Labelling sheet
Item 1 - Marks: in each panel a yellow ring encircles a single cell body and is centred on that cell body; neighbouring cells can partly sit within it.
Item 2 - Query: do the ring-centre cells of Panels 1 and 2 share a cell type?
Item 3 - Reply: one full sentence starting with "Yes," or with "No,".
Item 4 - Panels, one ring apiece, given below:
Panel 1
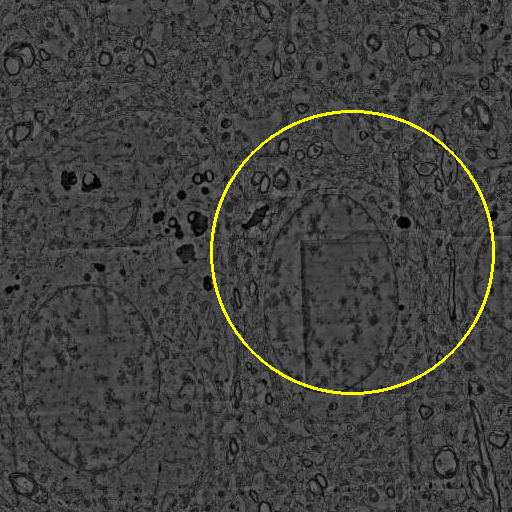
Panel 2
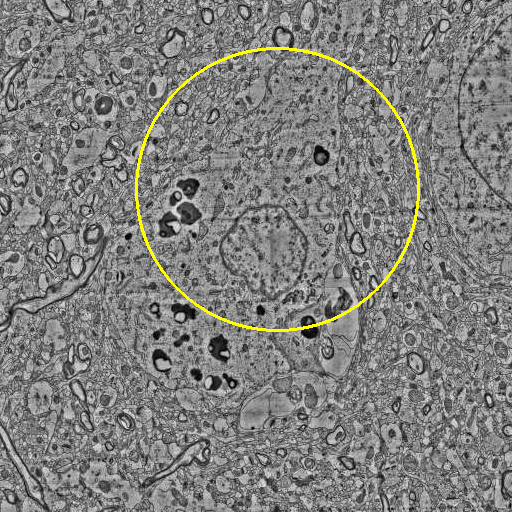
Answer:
Yes, Panel 1 and Panel 2 show one cell type at the centres of their rings.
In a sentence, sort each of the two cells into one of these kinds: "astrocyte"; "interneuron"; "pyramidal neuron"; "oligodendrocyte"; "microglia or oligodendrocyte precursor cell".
The cell in the first picture is a pyramidal neuron, and so is the one in the second.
